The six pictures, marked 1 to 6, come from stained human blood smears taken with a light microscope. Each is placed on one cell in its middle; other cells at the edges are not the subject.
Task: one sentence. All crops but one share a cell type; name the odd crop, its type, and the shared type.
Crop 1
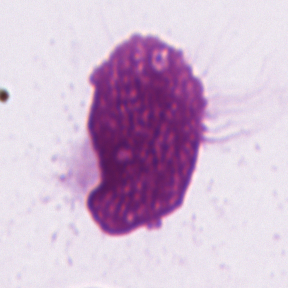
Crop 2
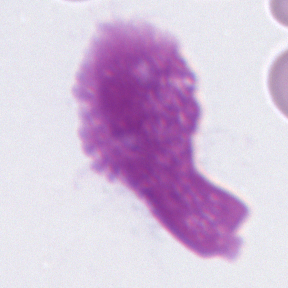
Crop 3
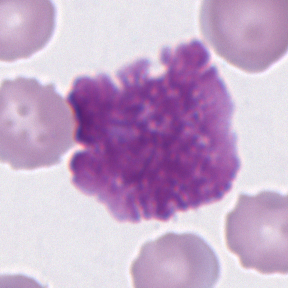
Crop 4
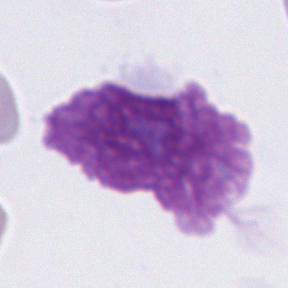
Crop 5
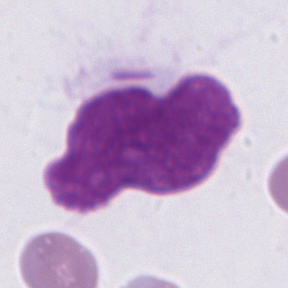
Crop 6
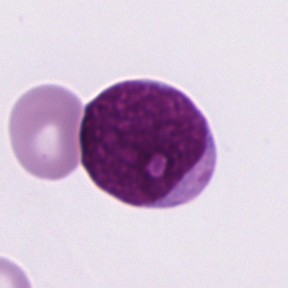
All the crops contain smudge cells save crop 6, where there is a myeloblast.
